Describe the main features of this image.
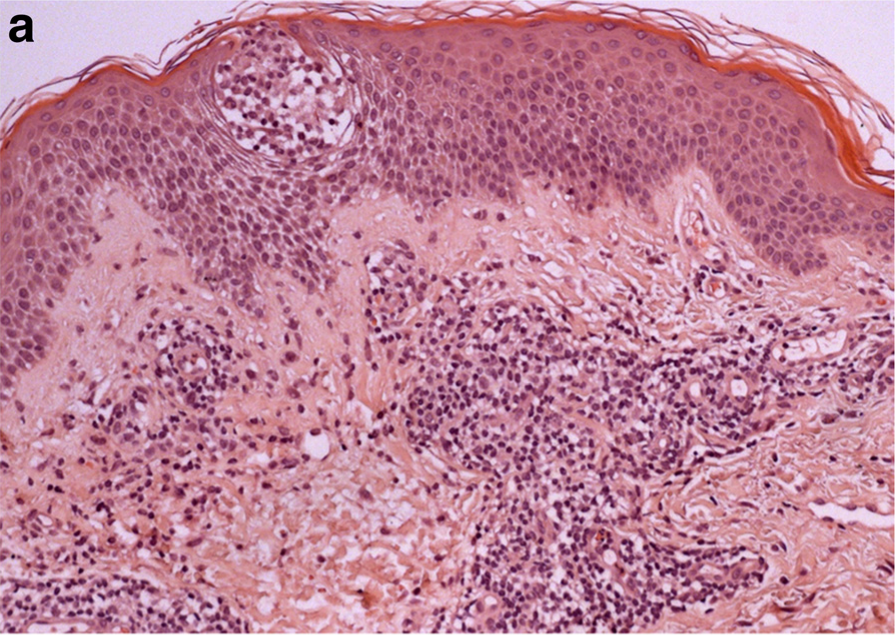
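Skin with epidermis above and superficial dermis below, carrying a dense perivascular infiltrate of small round inflammatory cells. Beneath, the dermis holds sheets and cuffs of small dark round nuclei gathered around small vessels, extending from just under the epidermis into the deeper field. Between the collections the dermis is pale and loose, with scattered cells among pink collagen fibres.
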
